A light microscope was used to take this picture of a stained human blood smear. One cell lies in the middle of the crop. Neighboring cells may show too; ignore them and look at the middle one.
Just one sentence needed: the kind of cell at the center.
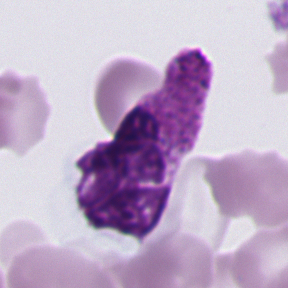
The middle position in this crop is taken by a segmented neutrophil.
